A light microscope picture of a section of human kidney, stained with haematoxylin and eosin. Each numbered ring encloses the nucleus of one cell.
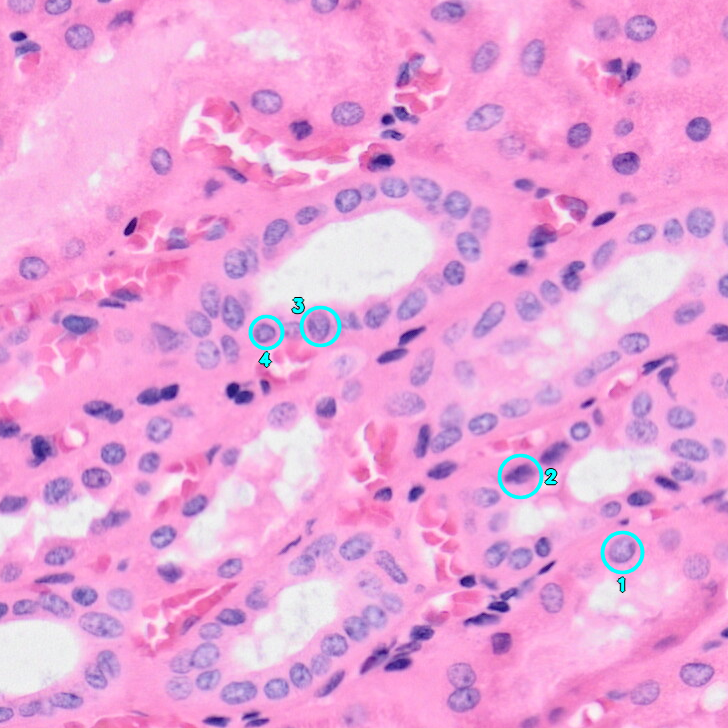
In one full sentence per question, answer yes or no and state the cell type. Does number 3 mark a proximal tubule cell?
No, it is not a proximal tubule cell that bears number 3 but a collecting duct cell.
